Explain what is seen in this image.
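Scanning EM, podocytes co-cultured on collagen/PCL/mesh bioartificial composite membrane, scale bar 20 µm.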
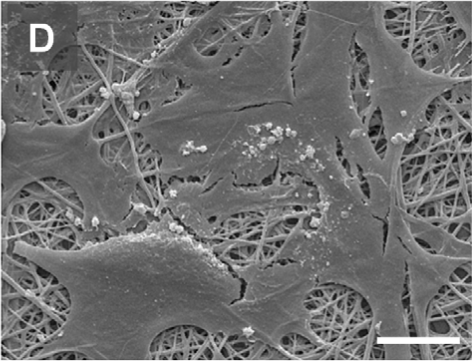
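The cells are large and very flat, with irregular, star-like outlines and broad or slender processes that taper out and cross over the fibres. Neighbouring cells touch and overlap in places, but open stretches of the fibre meshwork lie between them. Small granular particles are scattered on the cell surfaces.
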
